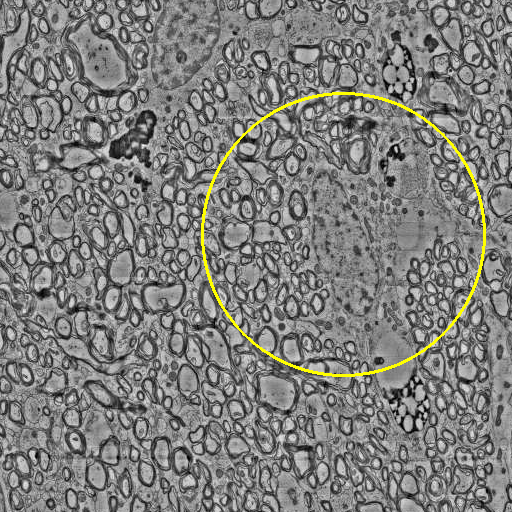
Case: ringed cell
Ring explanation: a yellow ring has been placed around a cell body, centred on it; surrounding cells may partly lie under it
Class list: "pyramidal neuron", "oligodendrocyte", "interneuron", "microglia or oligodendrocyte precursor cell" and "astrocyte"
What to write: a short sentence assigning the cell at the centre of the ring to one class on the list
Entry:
The cell at the ring's centre is an astrocyte.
